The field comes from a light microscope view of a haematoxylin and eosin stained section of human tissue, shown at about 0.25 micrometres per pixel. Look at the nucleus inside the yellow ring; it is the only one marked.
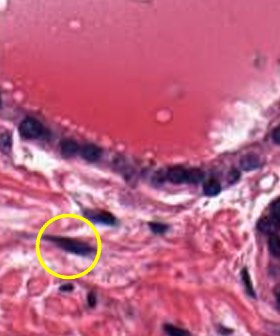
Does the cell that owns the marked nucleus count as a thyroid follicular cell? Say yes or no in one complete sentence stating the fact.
No, the marked nucleus is not from a thyroid follicular cell; a supporting cell is its source.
